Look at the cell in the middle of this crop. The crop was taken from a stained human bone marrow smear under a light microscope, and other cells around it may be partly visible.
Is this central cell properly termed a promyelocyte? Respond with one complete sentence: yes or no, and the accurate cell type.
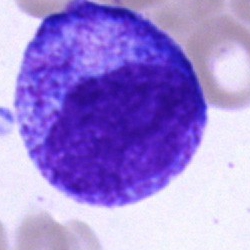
Yes, the cell at the heart of the crop is a promyelocyte.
